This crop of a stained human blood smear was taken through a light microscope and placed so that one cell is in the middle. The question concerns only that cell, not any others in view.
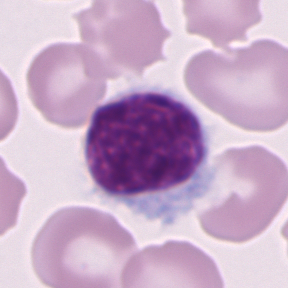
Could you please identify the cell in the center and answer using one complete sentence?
The central cell, amid any neighbouring cells, is a hairy cell.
